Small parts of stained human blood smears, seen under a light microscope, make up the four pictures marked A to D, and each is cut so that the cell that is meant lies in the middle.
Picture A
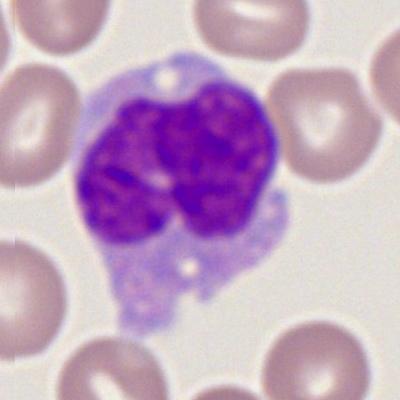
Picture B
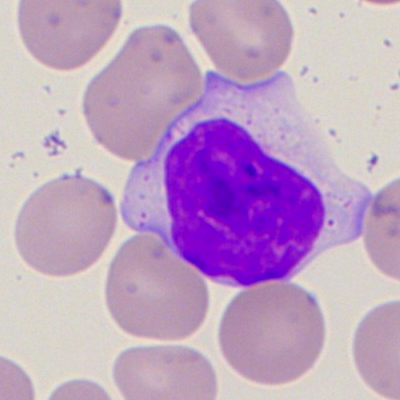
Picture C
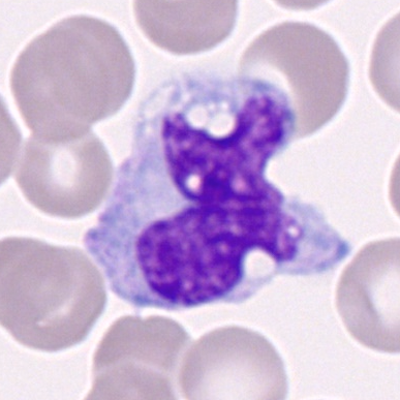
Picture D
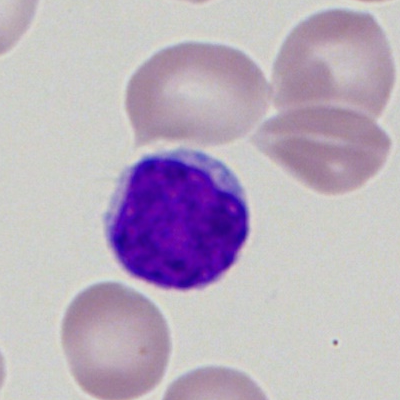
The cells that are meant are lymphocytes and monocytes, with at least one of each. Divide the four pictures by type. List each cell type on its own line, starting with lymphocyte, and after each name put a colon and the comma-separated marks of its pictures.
lymphocyte: B, D
monocyte: A, C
